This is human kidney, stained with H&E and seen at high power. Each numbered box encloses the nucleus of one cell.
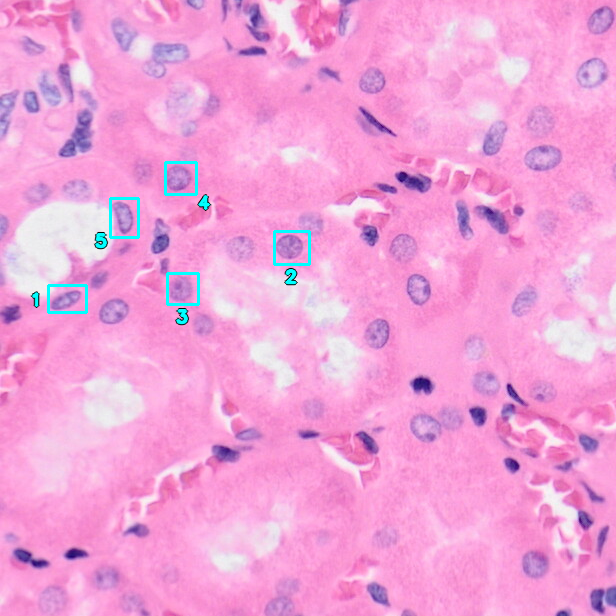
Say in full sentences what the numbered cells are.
Cell 1 is a loop of Henle or distal tubule cell, cell 2 is a proximal tubule cell, cell 3 is a proximal tubule cell, cell 4 is a proximal tubule cell and cell 5 is a loop of Henle or distal tubule cell.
